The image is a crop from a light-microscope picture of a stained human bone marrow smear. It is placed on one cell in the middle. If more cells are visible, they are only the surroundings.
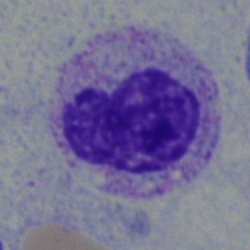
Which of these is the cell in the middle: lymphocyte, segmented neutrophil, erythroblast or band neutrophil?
band neutrophil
